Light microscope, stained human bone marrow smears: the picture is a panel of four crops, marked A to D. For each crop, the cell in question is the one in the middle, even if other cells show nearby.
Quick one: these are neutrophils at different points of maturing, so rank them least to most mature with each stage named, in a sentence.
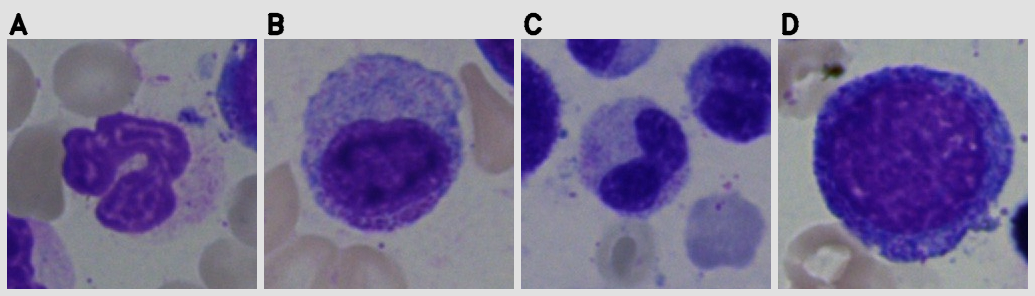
Arranged by increasing maturity, the sequence is crop D (a promyelocyte), crop B (a myelocyte), crop C (a band neutrophil) and crop A (a segmented neutrophil).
